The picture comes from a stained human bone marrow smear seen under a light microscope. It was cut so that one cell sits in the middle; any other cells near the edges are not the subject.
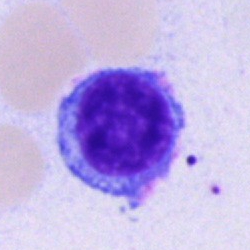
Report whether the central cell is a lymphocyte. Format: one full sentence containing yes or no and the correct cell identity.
Yes, at the centre of the crop lies a lymphocyte.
